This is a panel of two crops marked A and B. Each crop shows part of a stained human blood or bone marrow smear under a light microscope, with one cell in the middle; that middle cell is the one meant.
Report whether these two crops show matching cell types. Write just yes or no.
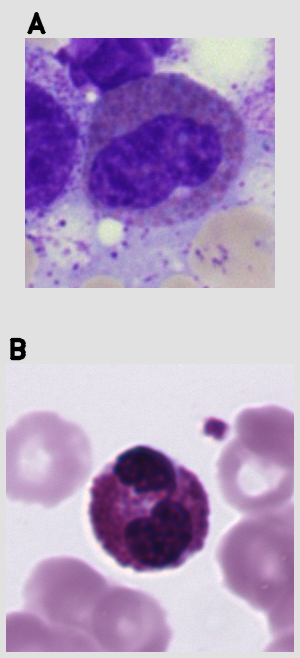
yes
